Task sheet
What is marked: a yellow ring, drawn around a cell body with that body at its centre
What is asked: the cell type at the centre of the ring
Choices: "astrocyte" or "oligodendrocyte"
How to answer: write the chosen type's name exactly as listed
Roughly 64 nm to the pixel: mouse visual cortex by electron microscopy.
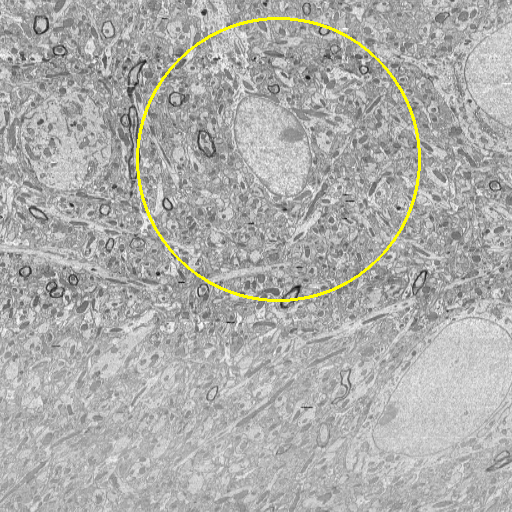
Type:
astrocyte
